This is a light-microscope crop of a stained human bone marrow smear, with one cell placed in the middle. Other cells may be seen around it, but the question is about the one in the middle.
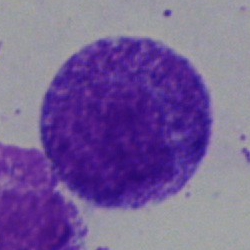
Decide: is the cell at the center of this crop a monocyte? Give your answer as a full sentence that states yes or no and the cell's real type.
No, the central cell is not a monocyte; it is a promyelocyte.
